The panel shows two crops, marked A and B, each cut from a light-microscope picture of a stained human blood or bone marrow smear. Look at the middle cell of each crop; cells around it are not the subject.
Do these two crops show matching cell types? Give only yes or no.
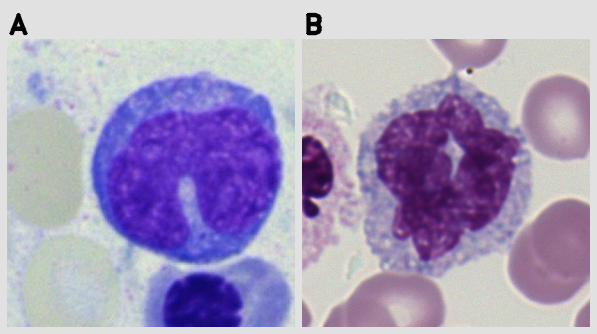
yes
